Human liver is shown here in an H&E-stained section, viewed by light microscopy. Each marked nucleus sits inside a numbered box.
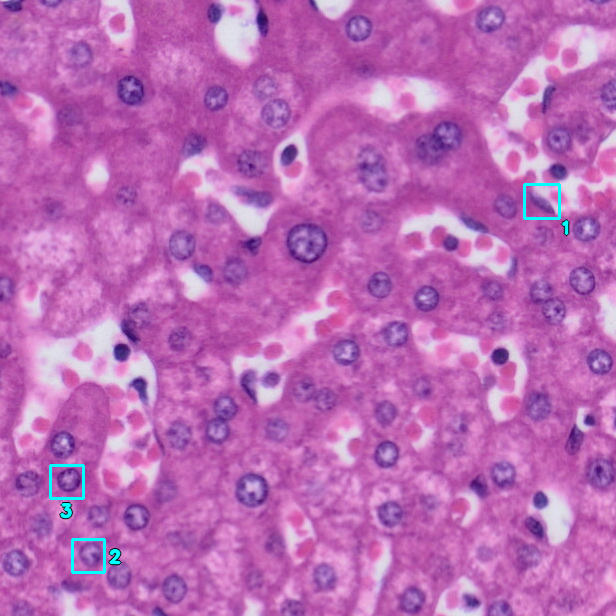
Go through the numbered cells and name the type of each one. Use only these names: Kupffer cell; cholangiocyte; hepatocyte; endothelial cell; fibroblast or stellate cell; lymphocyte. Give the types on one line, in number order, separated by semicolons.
endothelial cell; hepatocyte; hepatocyte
